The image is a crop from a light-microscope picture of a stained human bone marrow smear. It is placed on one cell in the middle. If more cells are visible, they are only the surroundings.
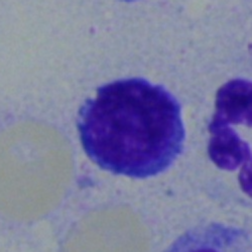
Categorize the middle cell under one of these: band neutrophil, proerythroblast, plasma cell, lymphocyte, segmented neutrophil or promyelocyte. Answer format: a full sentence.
The centered cell in this crop is a lymphocyte.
